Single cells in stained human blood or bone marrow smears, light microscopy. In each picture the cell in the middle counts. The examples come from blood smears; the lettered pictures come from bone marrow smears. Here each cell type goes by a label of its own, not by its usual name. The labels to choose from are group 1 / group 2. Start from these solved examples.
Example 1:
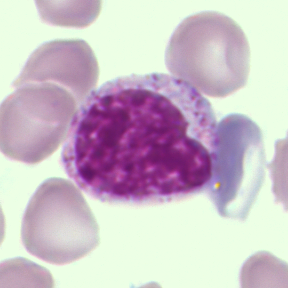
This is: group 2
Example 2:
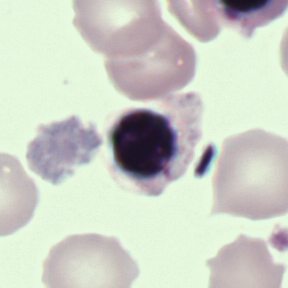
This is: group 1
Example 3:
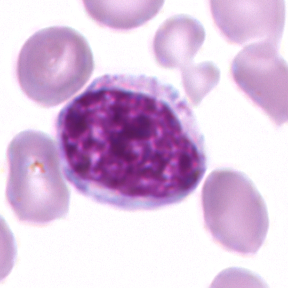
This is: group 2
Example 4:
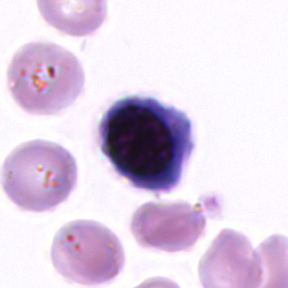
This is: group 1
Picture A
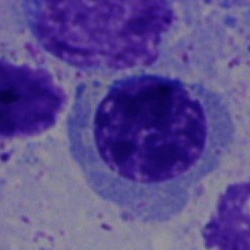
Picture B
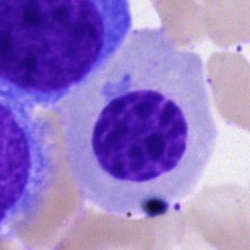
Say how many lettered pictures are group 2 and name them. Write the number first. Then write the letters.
0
